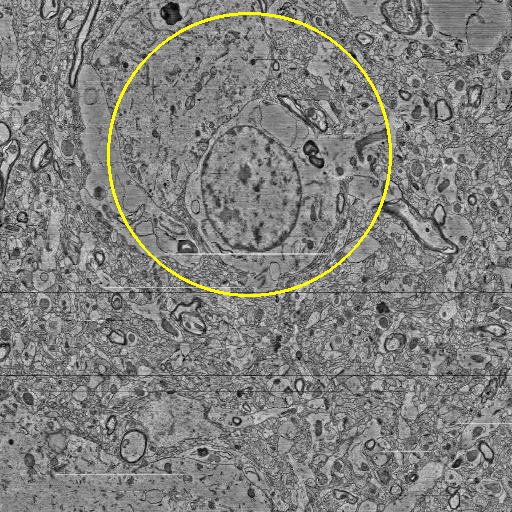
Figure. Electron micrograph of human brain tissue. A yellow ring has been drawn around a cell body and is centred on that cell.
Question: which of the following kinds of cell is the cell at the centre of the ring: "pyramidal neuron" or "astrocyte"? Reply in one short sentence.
The cell at the centre of the ring is an astrocyte.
